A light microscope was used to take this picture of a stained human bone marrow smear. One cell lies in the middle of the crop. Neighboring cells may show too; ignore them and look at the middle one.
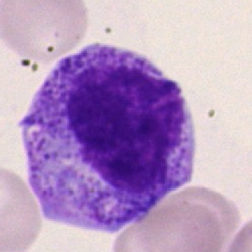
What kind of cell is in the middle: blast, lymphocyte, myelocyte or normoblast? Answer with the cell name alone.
myelocyte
